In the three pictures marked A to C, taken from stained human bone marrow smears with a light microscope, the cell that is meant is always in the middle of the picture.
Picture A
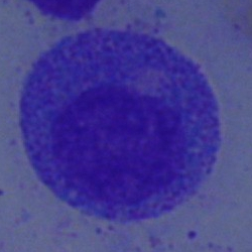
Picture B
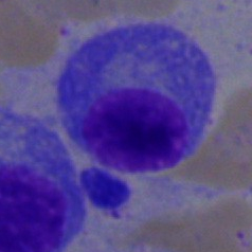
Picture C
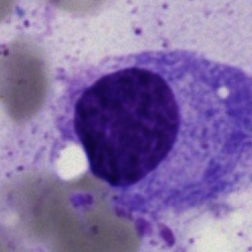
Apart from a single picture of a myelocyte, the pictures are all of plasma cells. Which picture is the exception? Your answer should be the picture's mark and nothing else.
A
